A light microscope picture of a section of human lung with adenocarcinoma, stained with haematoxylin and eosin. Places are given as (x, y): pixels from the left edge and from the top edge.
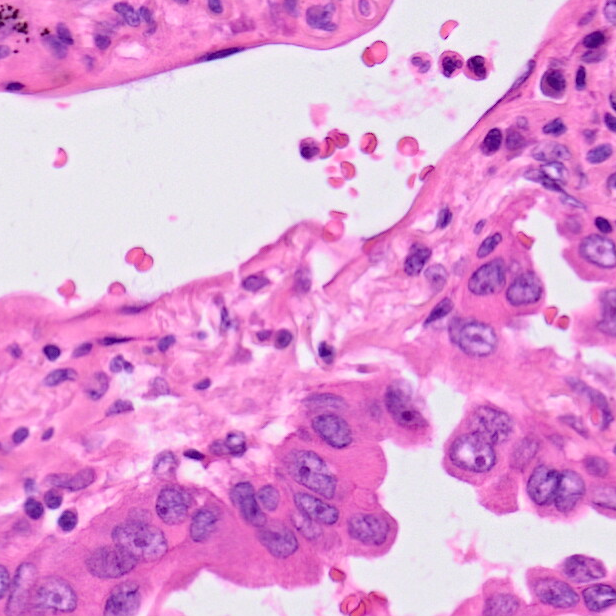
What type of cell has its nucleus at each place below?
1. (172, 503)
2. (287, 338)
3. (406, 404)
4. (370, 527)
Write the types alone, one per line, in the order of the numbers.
carcinoma cell
plasma cell
carcinoma cell
carcinoma cell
